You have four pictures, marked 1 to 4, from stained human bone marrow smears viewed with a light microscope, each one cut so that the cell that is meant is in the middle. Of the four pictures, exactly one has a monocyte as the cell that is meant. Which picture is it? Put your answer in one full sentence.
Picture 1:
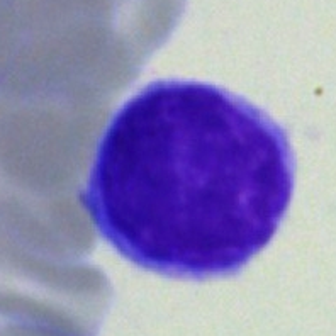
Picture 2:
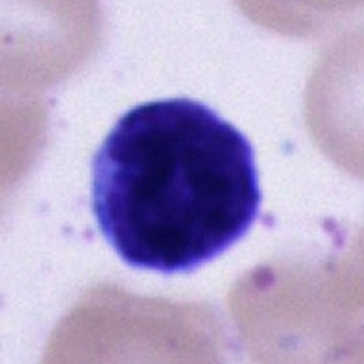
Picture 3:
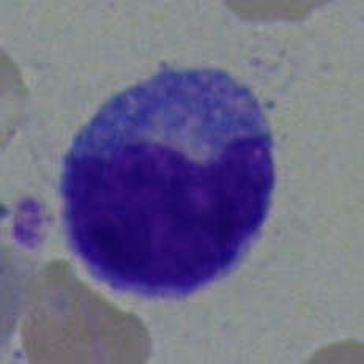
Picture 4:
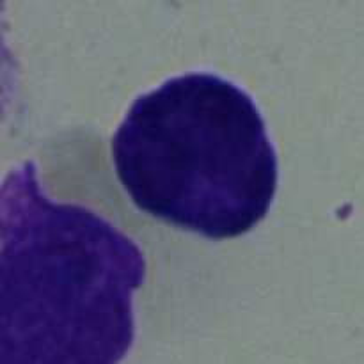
The cell in picture 3 is the monocyte.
